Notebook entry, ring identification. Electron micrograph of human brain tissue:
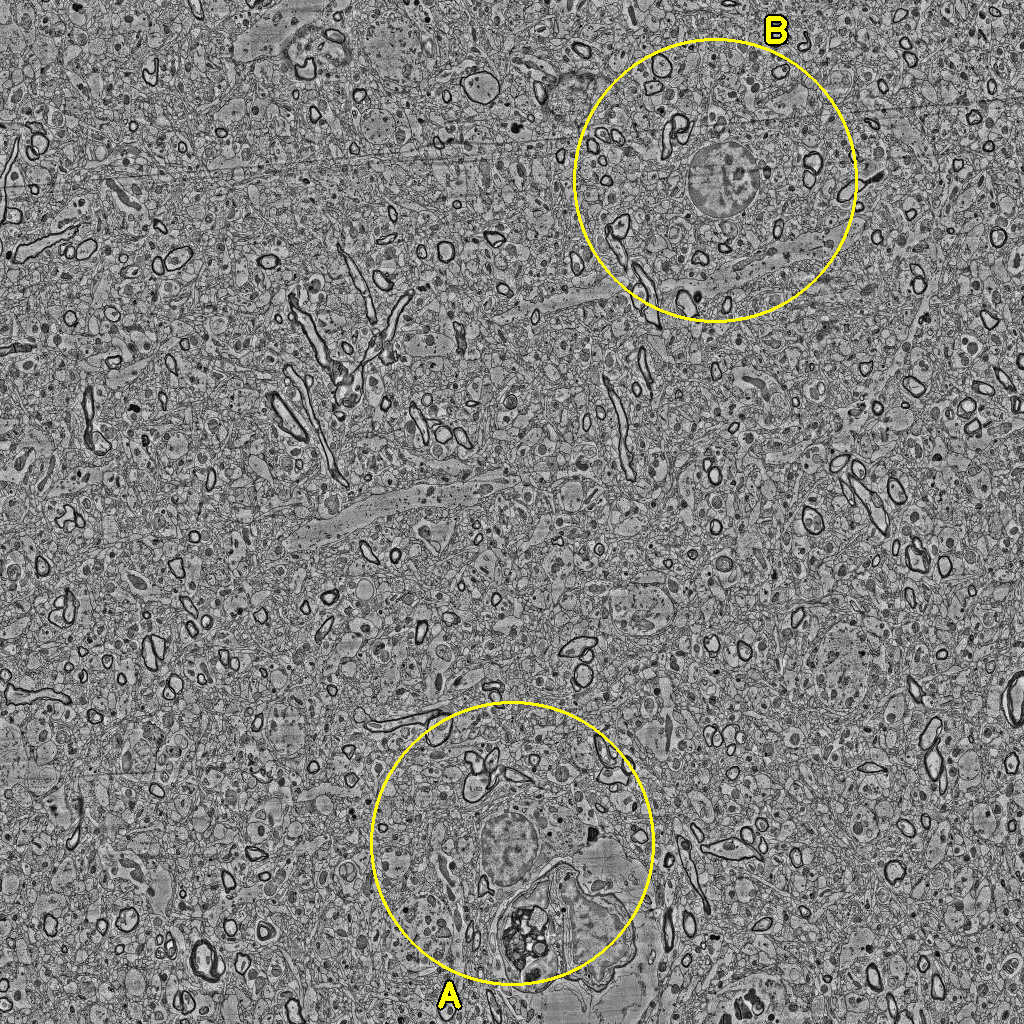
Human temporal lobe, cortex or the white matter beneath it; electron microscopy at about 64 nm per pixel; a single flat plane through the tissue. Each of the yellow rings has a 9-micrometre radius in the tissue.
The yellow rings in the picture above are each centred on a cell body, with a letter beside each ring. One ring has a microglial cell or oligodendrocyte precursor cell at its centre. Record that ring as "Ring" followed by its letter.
Ring B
